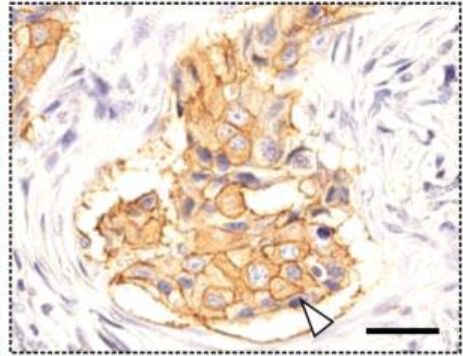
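A nest of tumor epithelial cells lies within a pale fibrous stroma of spindle-shaped cells. The tumor cells are large and polygonal, with round to oval pale blue nuclei, some showing nucleoli. Strong brown stain outlines the plasma membrane of each tumor cell, giving a net-like pattern across the nest. The surrounding stromal cells have elongated nuclei and show little brown stain.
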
